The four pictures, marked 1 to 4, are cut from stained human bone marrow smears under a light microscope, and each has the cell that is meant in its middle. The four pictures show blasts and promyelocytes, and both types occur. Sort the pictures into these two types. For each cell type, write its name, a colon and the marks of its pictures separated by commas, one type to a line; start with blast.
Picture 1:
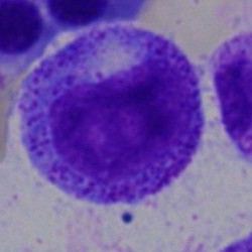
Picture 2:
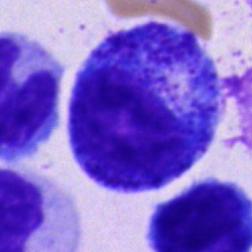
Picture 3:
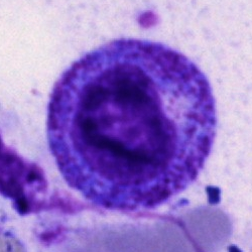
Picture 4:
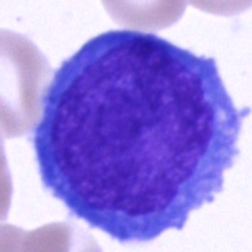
blast: 4
promyelocyte: 1, 2, 3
